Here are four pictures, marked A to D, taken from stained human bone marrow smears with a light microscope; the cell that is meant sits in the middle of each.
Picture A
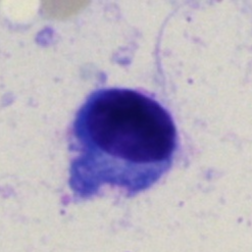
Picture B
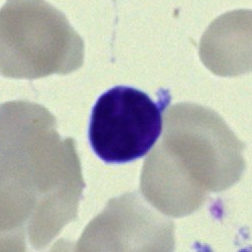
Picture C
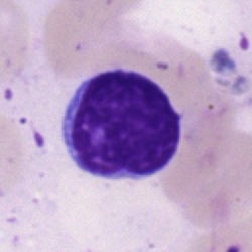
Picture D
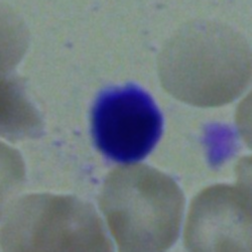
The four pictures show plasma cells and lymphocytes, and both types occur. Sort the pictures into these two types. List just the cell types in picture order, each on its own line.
plasma cell
lymphocyte
lymphocyte
lymphocyte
